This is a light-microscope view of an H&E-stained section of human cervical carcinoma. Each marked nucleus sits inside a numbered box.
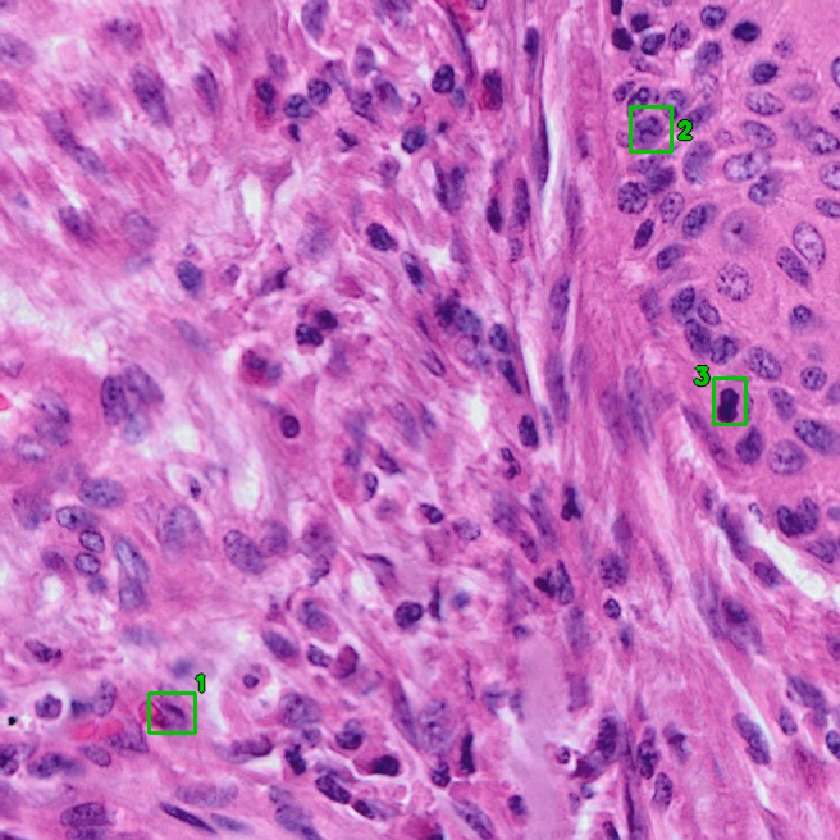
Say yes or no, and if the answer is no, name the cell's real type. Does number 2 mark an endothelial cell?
No, it is a squamous carcinoma cell.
